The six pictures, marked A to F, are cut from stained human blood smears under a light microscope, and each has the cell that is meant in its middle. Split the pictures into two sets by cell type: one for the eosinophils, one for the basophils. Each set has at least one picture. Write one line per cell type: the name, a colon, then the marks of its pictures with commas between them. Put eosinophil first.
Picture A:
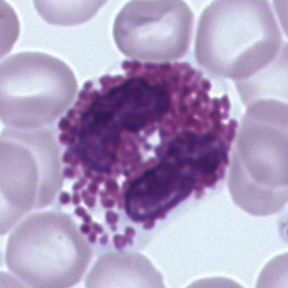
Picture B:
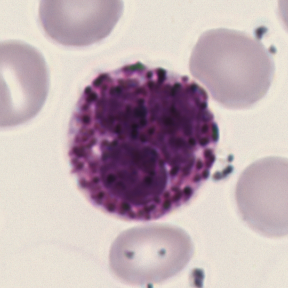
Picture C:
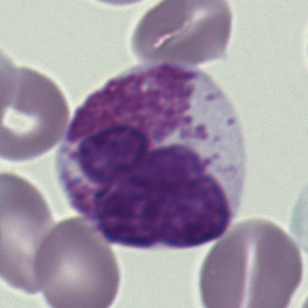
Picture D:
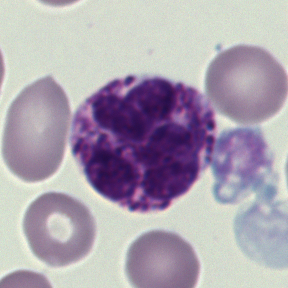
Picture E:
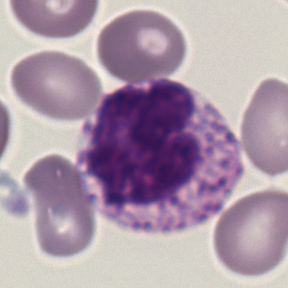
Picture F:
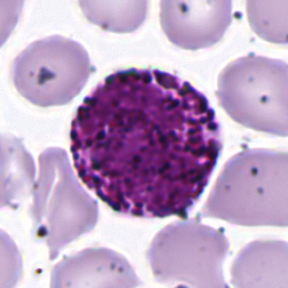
eosinophil: A, C
basophil: B, D, E, F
